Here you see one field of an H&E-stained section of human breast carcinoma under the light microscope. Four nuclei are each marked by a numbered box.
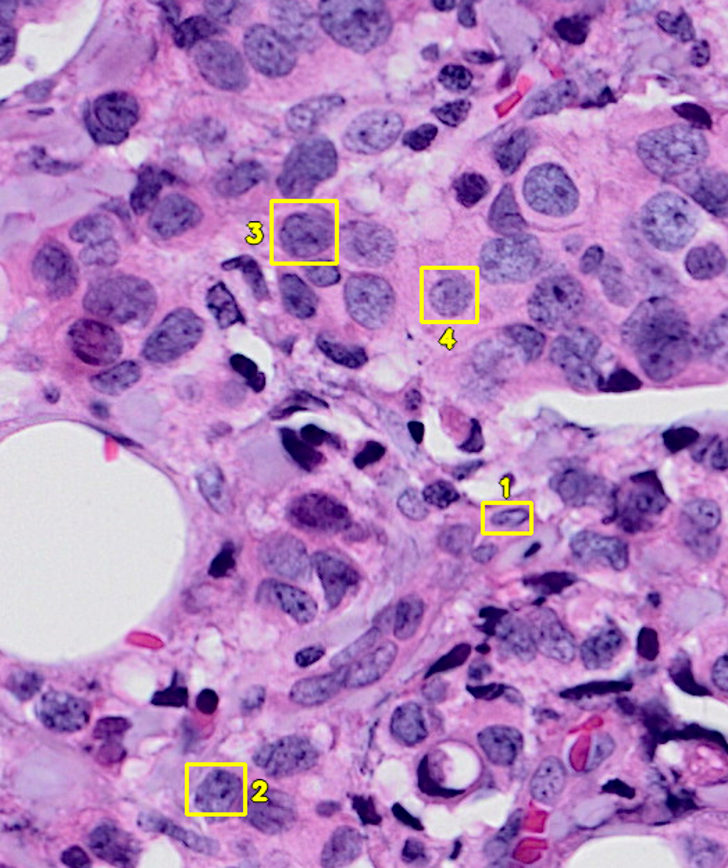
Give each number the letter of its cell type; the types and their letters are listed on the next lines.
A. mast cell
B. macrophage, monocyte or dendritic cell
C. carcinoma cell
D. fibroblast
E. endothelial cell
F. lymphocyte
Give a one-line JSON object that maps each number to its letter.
{"1": "E", "2": "C", "3": "C", "4": "C"}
